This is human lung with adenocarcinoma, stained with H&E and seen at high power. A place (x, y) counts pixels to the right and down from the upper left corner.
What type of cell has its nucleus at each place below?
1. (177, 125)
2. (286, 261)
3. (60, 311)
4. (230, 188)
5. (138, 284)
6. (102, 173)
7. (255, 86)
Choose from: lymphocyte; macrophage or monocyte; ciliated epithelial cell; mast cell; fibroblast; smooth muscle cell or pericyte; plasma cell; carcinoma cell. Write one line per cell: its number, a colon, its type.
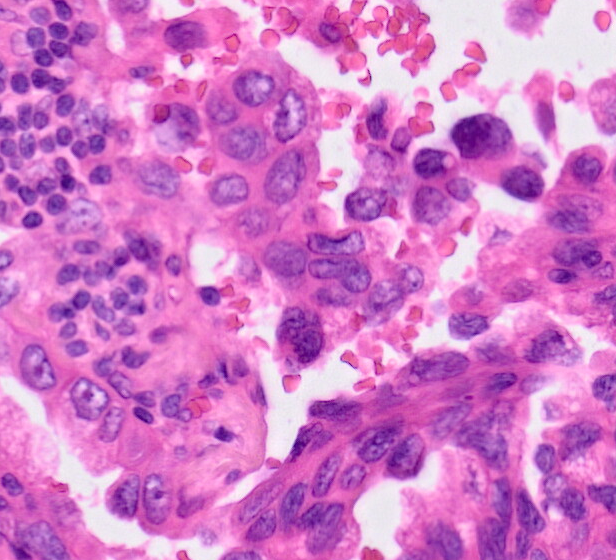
1: carcinoma cell
2: carcinoma cell
3: lymphocyte
4: carcinoma cell
5: lymphocyte
6: lymphocyte
7: carcinoma cell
